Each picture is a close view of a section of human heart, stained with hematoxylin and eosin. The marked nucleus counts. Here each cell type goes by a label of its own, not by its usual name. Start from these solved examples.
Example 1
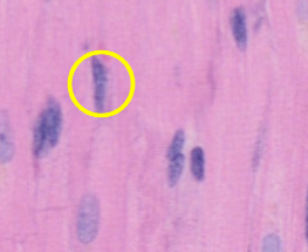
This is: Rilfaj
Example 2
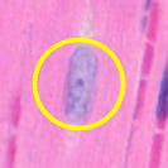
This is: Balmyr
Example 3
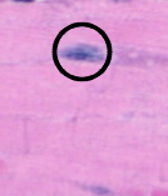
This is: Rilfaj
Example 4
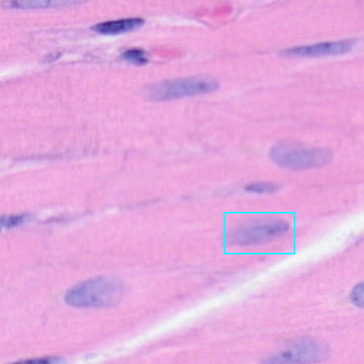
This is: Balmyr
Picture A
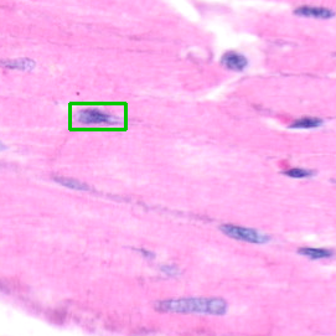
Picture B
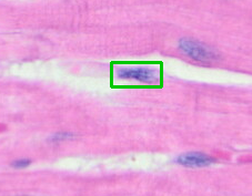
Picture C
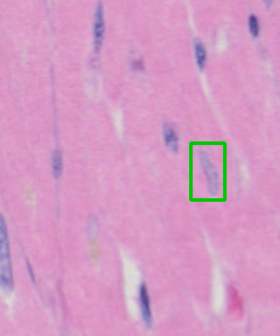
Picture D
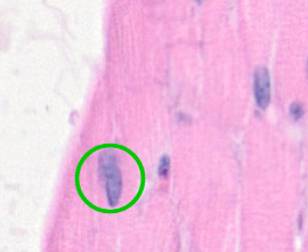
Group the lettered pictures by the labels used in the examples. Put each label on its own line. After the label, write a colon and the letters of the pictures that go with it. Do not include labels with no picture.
Rilfaj: A, B
Balmyr: C, D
